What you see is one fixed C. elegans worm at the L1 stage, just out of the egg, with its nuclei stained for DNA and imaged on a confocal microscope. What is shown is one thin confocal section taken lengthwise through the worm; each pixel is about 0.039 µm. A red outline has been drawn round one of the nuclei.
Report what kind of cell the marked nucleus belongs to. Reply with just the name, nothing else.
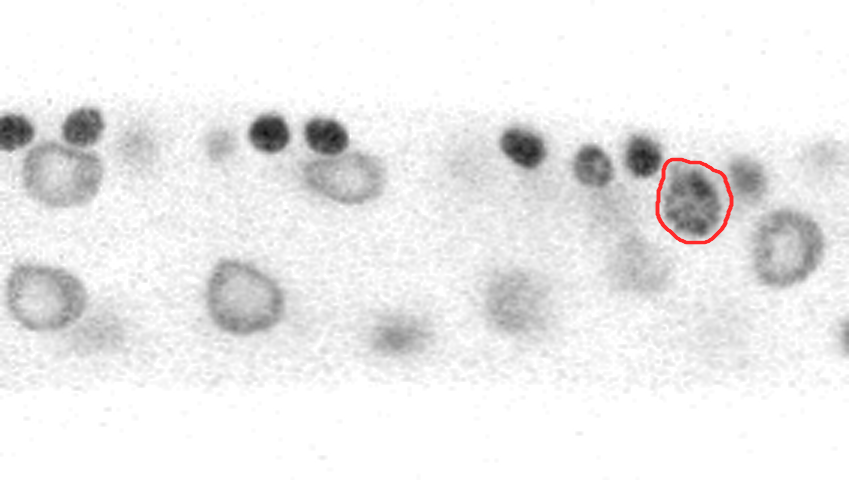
germ line precursor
